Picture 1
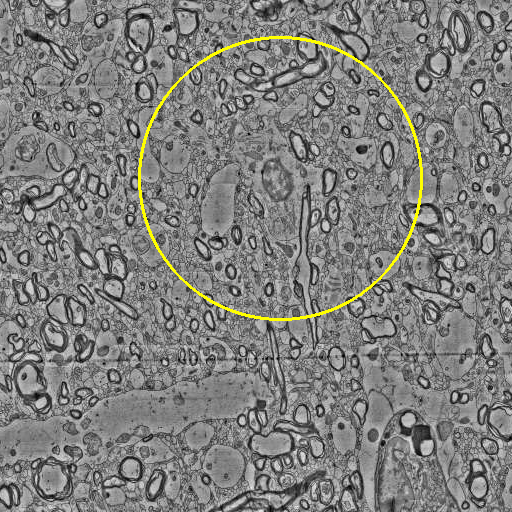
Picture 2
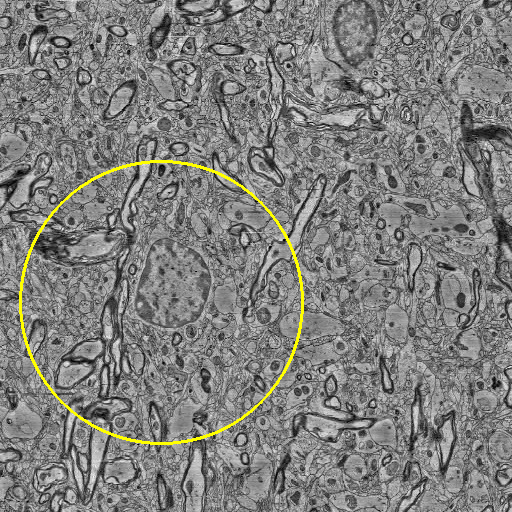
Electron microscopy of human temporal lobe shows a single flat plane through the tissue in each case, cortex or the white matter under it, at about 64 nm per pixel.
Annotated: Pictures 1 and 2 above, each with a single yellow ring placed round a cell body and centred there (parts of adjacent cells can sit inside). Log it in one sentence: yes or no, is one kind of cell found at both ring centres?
Yes, the ring centres of the two pictures hold cells of one kind.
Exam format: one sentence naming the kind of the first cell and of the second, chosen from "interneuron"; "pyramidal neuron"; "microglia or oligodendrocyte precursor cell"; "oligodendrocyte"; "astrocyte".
Each of the two rings surrounds a microglial cell or oligodendrocyte precursor cell.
